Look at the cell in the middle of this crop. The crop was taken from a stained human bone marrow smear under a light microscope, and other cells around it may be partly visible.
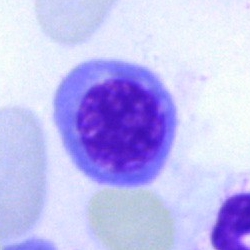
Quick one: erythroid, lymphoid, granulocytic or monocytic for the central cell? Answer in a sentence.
In lineage, the cell at the crop's center is erythroid.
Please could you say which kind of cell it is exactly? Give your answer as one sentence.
The middle position in this crop is taken by an erythroblast.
